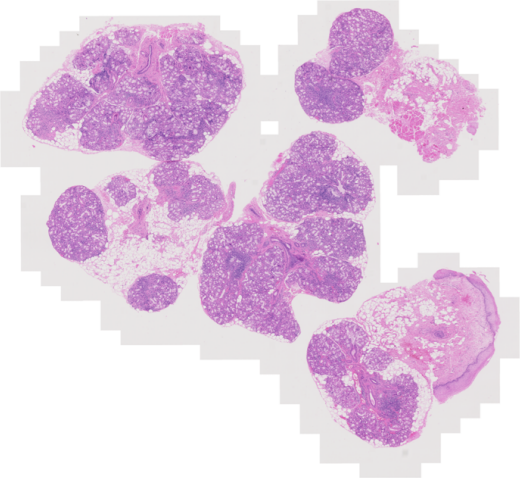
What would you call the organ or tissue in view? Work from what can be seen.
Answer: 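Tissue is divided into lobules of closely packed purple glandular units. Pale fatty and pink fibrous tissue lies between and beside the lobules.
Salivary gland.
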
